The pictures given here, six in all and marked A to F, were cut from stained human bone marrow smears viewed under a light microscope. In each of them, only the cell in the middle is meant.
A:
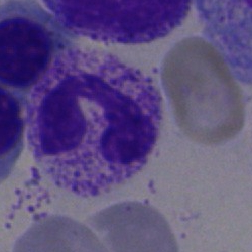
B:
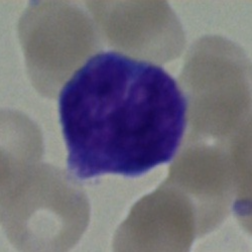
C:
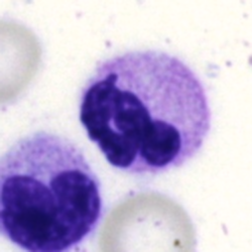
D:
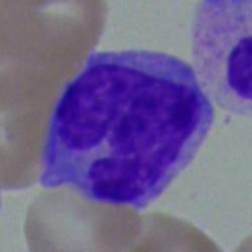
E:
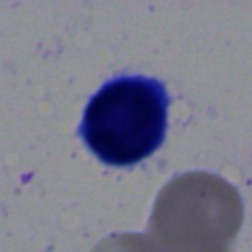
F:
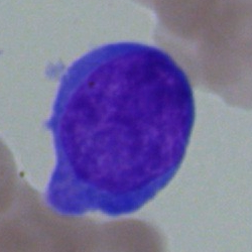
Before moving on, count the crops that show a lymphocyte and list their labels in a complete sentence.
Of these crops, the one with a lymphocyte is crop E.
